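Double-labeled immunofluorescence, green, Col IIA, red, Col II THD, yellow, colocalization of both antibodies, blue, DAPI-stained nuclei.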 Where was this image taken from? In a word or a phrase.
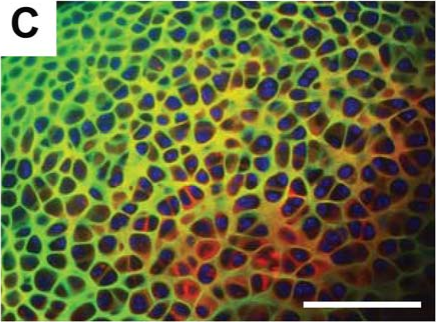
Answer: resting zone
